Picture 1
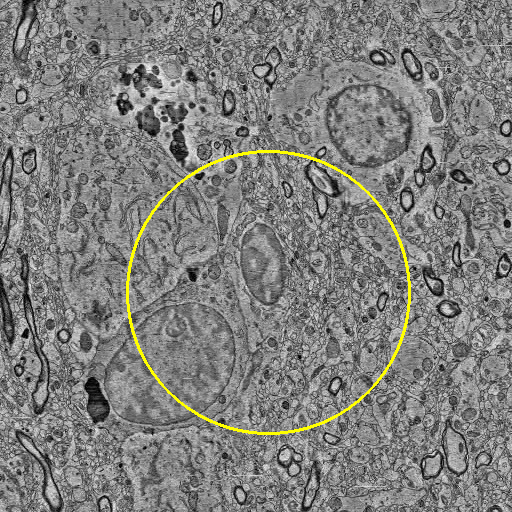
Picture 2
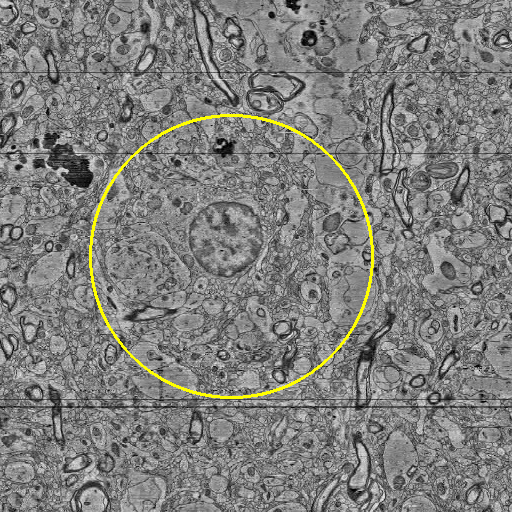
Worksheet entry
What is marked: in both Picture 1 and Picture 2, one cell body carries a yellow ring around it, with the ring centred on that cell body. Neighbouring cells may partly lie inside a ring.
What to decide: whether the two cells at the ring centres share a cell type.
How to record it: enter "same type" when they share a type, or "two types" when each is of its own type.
two types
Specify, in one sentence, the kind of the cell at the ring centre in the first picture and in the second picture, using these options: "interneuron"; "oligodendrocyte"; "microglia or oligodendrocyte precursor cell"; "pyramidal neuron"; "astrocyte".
So the first is a microglial cell or oligodendrocyte precursor cell, the second an oligodendrocyte.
